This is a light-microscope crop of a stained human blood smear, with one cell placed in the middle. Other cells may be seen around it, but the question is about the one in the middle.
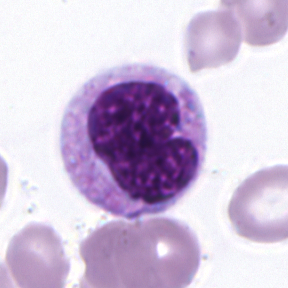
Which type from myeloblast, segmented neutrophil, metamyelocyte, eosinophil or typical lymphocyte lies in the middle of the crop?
metamyelocyte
